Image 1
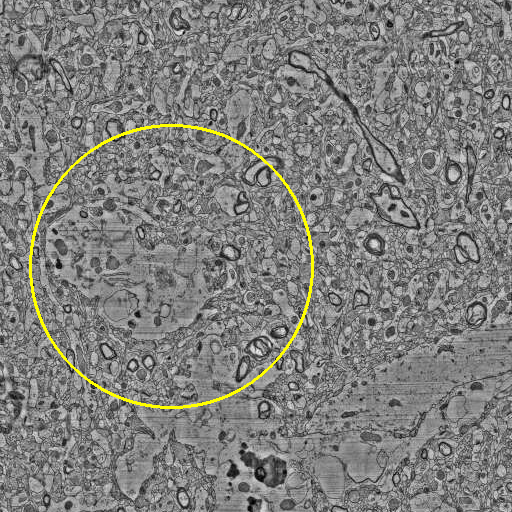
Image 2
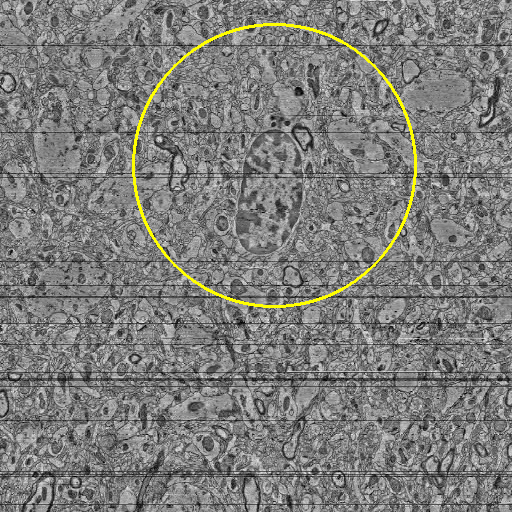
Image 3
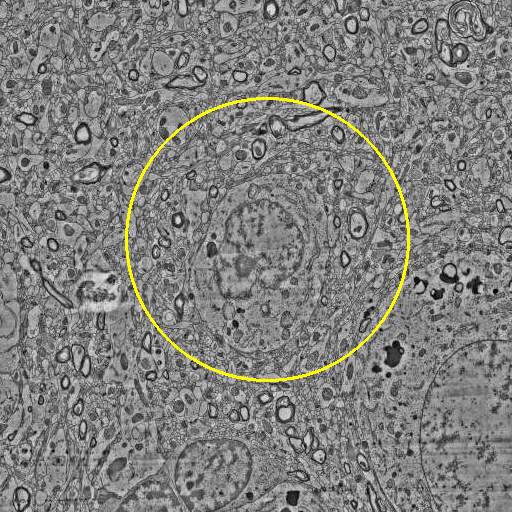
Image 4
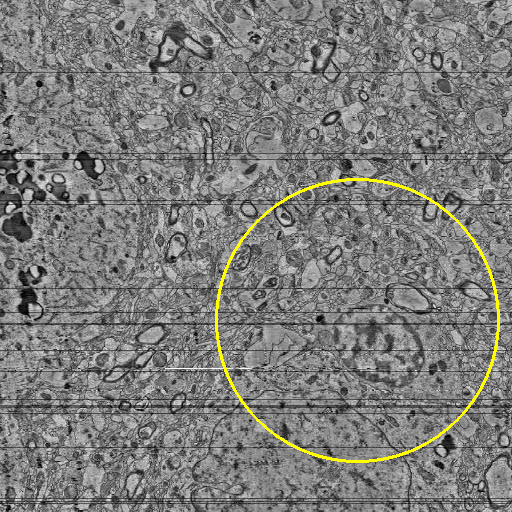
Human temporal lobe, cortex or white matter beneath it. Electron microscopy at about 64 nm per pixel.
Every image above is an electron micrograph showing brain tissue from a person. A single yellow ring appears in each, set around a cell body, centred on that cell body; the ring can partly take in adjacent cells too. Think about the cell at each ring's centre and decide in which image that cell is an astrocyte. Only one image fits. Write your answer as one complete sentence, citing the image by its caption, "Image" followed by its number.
Image 1 is the one whose ringed central cell fits the description.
